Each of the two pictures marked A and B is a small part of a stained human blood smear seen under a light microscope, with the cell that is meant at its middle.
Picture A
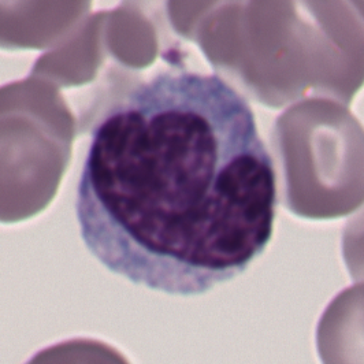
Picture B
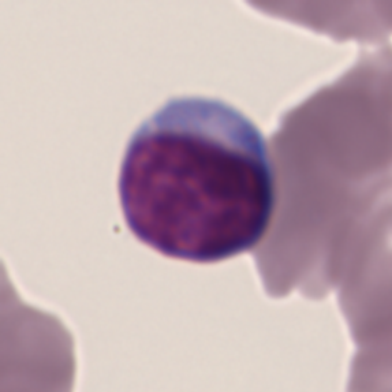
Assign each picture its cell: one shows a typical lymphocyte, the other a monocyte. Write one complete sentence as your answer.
The cell in picture A is a monocyte, and the one in picture B is a typical lymphocyte.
